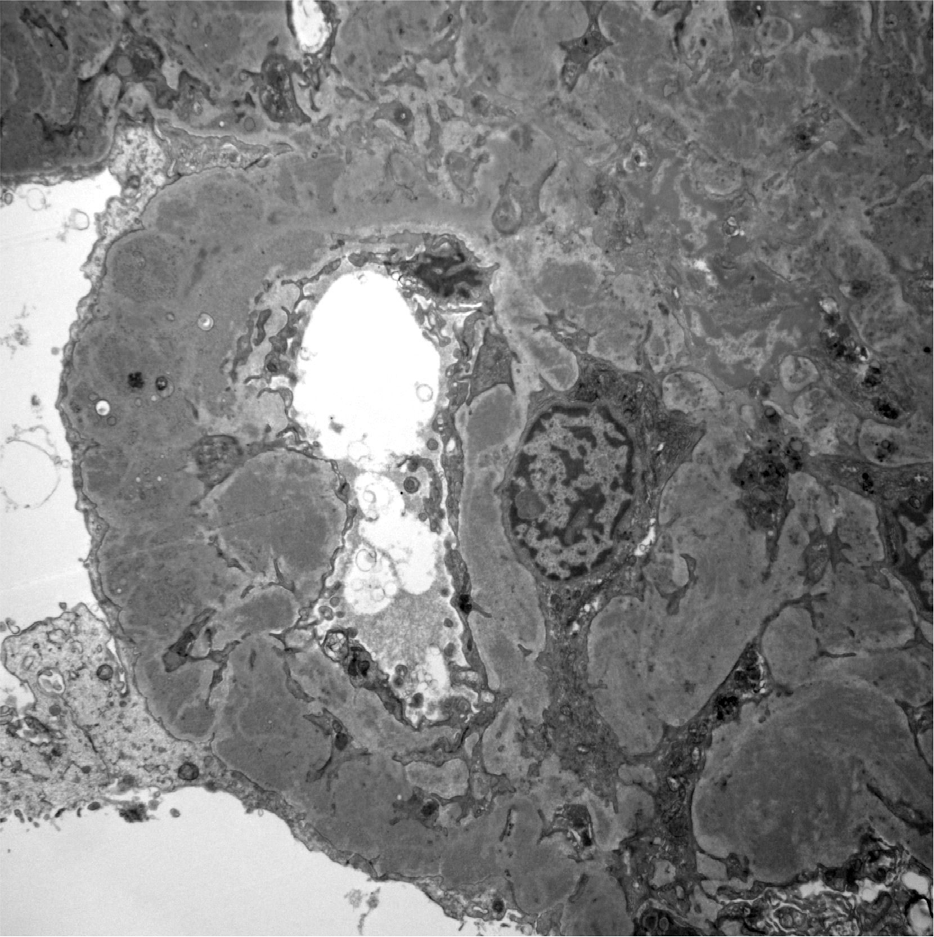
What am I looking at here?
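This electron micrograph shows part of a glomerulus, with a capillary loop in the centre and mesangial matrix to its right. The capillary lumen is the pale, nearly empty space in the middle, holding only wispy material and a few small round vesicles. Its wall is greatly thickened by large, smooth, rounded grey masses, the electron-dense deposits, which bulge in lobules and crowd the whole loop. To the right, a cell with an oval nucleus and clumps of dark chromatin lies within matrix that is likewise packed with lobulated dense deposits. At the left edge, empty space borders the outer surface of the loop, which is covered by thin, pale, vesiculated cell cytoplasm.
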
